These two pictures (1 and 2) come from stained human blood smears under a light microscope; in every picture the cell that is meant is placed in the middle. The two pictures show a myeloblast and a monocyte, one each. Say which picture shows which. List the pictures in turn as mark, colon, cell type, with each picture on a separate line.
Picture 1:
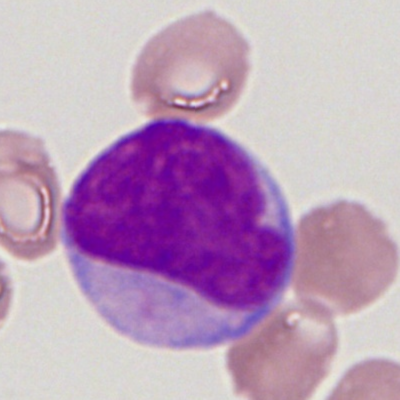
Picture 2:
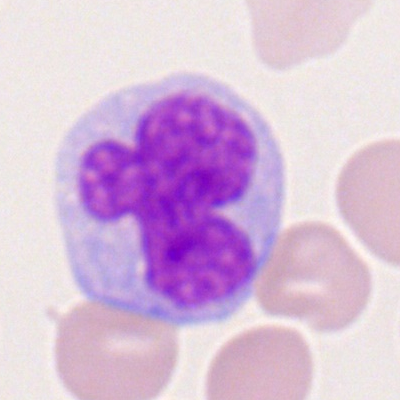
1: myeloblast
2: monocyte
